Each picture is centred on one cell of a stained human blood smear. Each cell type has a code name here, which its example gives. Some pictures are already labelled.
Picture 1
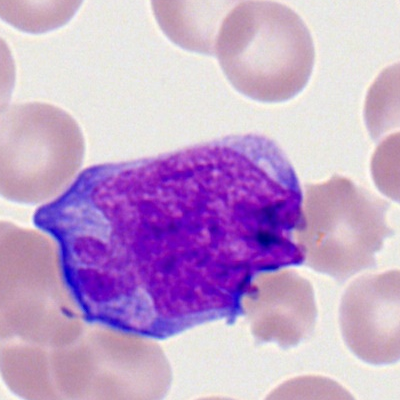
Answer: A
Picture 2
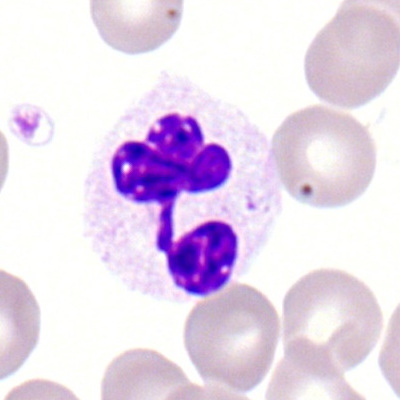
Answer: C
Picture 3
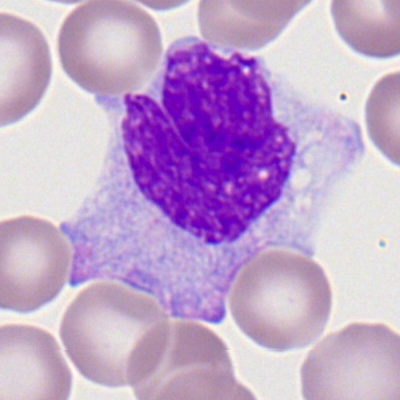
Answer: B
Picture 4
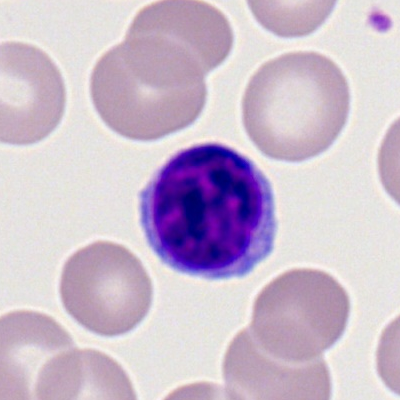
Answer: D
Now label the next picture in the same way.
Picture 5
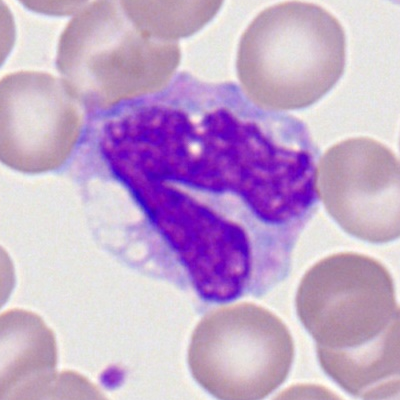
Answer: B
